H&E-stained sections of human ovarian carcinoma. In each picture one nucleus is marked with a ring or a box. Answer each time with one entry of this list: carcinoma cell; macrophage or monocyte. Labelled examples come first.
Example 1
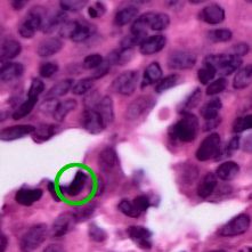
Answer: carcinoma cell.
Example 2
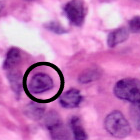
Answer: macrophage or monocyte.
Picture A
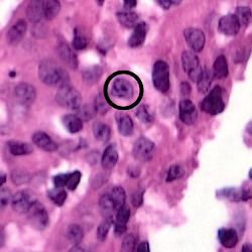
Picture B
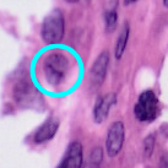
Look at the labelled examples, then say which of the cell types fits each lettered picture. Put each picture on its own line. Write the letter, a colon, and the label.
A: macrophage or monocyte.
B: macrophage or monocyte.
